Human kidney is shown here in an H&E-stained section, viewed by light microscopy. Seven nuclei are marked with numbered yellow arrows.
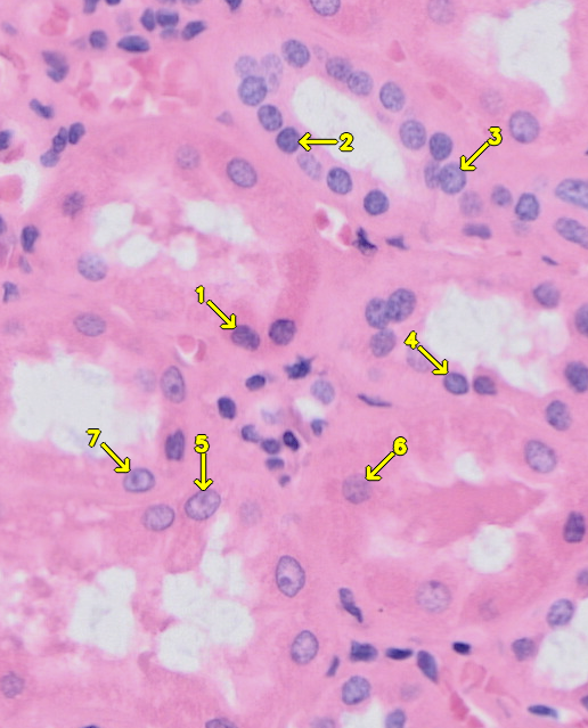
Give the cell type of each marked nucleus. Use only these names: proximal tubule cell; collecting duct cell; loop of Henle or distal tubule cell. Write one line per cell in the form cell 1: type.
cell 1: proximal tubule cell
cell 2: collecting duct cell
cell 3: collecting duct cell
cell 4: loop of Henle or distal tubule cell
cell 5: proximal tubule cell
cell 6: proximal tubule cell
cell 7: proximal tubule cell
